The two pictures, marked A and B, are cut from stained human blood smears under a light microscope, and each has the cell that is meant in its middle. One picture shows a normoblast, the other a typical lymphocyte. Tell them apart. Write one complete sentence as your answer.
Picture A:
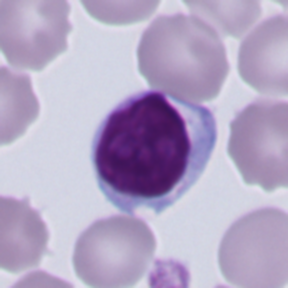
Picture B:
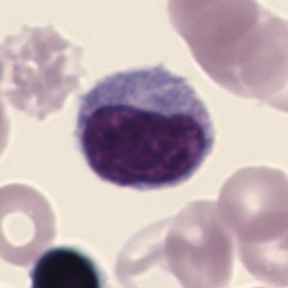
Picture A is of a typical lymphocyte, and picture B is of a normoblast.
